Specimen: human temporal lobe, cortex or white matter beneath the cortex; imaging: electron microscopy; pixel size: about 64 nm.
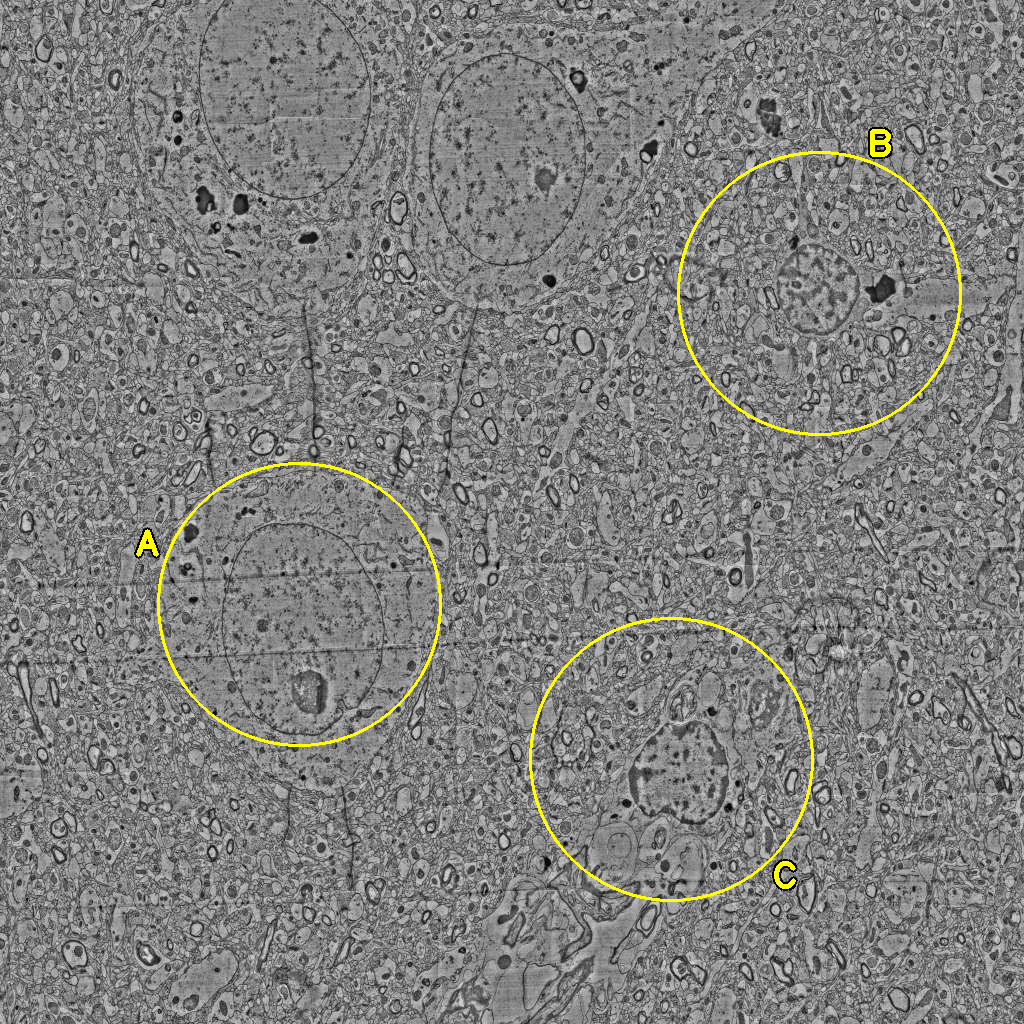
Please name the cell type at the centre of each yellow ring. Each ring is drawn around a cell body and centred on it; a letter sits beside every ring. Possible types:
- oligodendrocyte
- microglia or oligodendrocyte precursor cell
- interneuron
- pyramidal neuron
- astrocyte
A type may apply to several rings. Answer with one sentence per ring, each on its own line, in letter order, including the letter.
Ring A is centred on the cell body of a pyramidal neuron.
Ring B is centred on the cell body of an oligodendrocyte.
Ring C is centred on the cell body of a microglial cell or oligodendrocyte precursor cell.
